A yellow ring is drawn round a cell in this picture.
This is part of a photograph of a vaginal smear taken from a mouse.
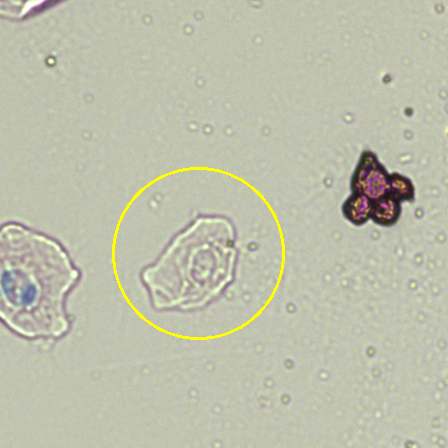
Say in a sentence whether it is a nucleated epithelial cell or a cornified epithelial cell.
The cell in the ring is a nucleated epithelial cell.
